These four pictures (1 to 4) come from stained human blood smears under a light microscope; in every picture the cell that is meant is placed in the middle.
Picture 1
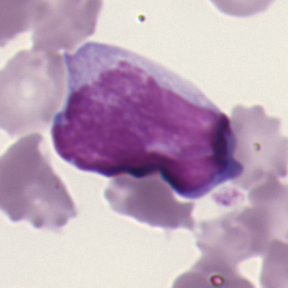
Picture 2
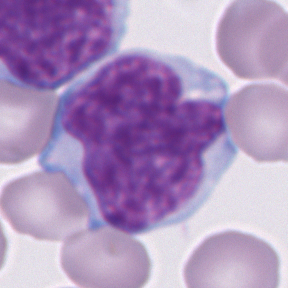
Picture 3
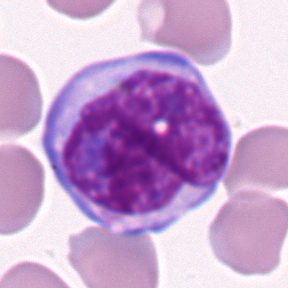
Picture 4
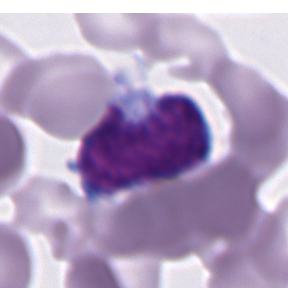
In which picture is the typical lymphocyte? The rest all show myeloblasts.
4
